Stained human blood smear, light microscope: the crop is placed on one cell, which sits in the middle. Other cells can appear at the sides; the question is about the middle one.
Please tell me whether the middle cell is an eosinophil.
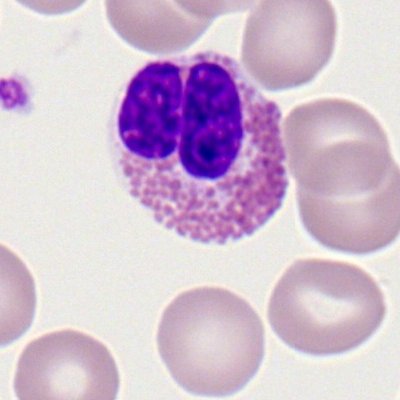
yes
